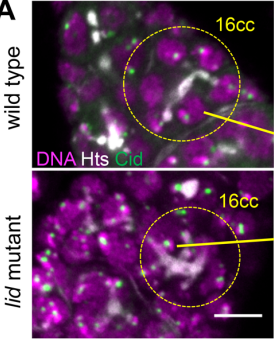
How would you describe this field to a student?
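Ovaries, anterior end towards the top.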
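Two views of part of a germarium show densely packed germline nuclei in magenta. In each view, a yellow dashed circle marks a cyst of interconnected germ cells. A white, branched fusome runs between the nuclei of the circled cyst, linking the cells of the cyst to one another.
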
